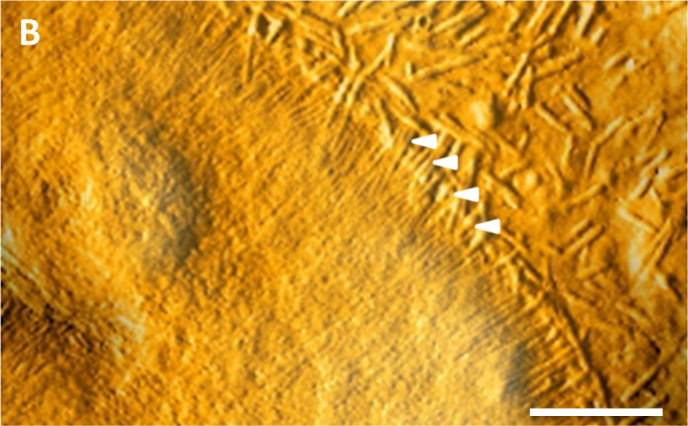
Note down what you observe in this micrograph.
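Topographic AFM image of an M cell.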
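The surface of a cell is seen in relief, largely smooth and faintly striated at the left, while toward the upper right it is covered by short rod-like projections lying in many directions. A band of such rods runs diagonally along the edge of the smoother region. These rods are sparse, truncated microvilli, shorter than those of a brush border and not standing upright.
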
